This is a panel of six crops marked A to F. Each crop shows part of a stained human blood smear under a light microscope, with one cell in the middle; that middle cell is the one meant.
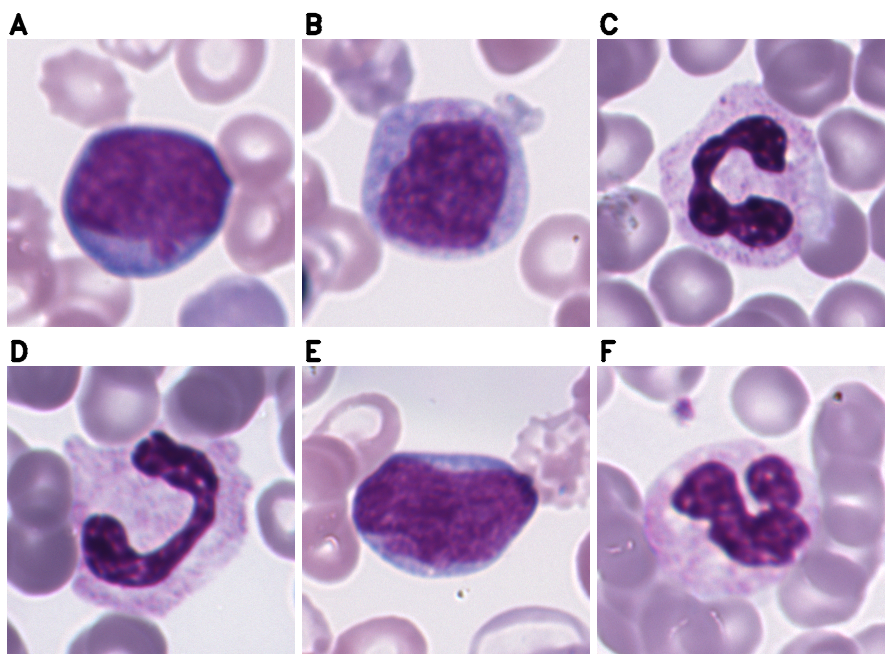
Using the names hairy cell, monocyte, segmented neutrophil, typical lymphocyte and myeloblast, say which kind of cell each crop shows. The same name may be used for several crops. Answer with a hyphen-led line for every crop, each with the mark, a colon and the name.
- A: myeloblast
- B: monocyte
- C: segmented neutrophil
- D: segmented neutrophil
- E: myeloblast
- F: segmented neutrophil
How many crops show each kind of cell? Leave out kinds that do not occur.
segmented neutrophil: 3
myeloblast: 2
monocyte: 1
